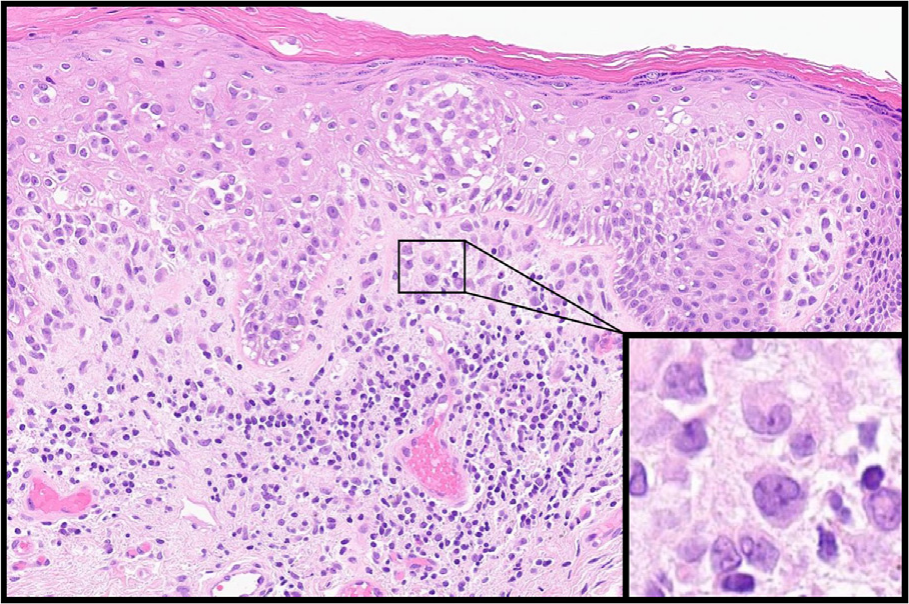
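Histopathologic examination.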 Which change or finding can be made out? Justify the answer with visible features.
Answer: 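Dense superficial dermal infiltrate. Densely packed cells fill the upper dermis just beneath the epidermis. The deeper dermis holds fewer cells and dilated vessels.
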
